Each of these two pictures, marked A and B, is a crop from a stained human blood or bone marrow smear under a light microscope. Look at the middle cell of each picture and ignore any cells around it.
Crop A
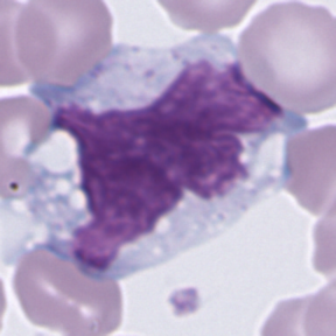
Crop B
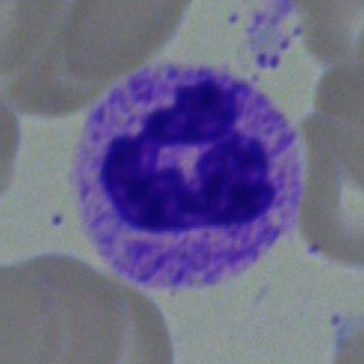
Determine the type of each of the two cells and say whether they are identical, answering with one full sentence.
No, crop A is of a monocyte, and crop B is of a segmented neutrophil.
